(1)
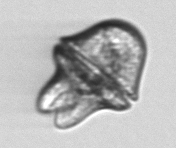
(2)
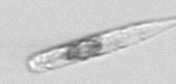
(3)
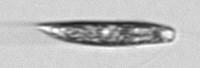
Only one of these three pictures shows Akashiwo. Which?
Picture 1.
